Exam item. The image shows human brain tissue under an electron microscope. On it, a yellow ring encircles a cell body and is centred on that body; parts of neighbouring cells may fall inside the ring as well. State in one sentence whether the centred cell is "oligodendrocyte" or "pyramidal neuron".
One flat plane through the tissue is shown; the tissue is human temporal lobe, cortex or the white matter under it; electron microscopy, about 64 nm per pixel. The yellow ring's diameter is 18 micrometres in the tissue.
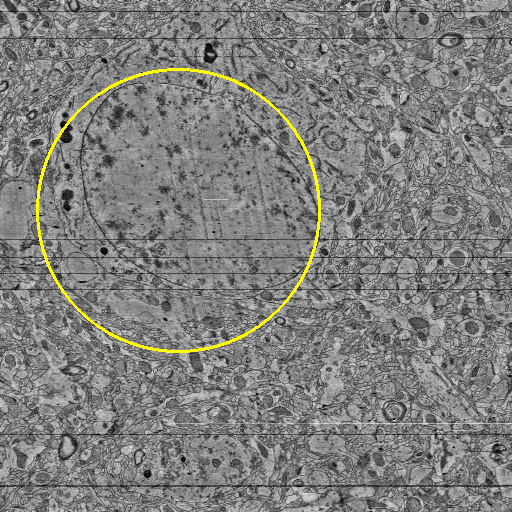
The cell body centred in the ring is a pyramidal neuron.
